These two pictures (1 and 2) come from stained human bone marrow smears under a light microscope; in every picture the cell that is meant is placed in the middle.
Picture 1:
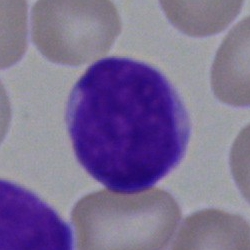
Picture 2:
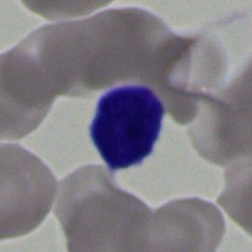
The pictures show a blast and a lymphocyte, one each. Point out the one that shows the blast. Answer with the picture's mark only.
1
